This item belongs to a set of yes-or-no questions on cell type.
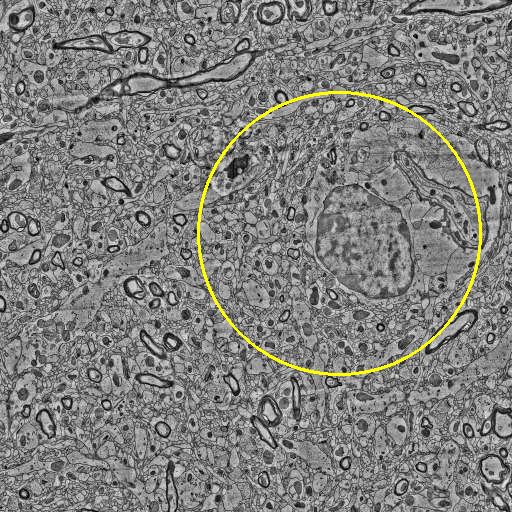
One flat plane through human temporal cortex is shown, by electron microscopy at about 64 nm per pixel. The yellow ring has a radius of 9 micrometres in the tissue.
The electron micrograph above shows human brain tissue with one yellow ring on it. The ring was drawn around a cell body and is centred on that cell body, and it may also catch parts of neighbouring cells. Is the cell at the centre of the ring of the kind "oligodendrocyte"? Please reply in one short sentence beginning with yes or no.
No, that cell is of another kind.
